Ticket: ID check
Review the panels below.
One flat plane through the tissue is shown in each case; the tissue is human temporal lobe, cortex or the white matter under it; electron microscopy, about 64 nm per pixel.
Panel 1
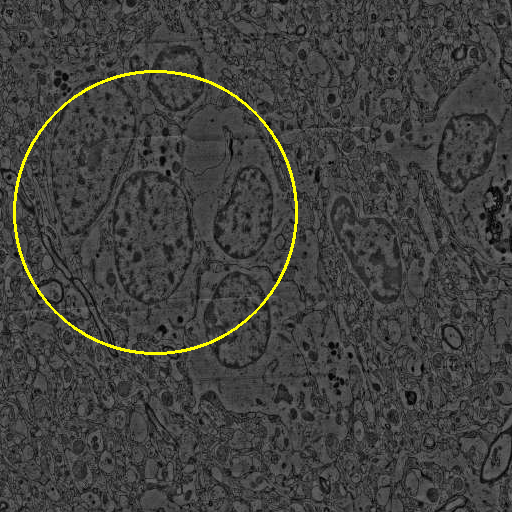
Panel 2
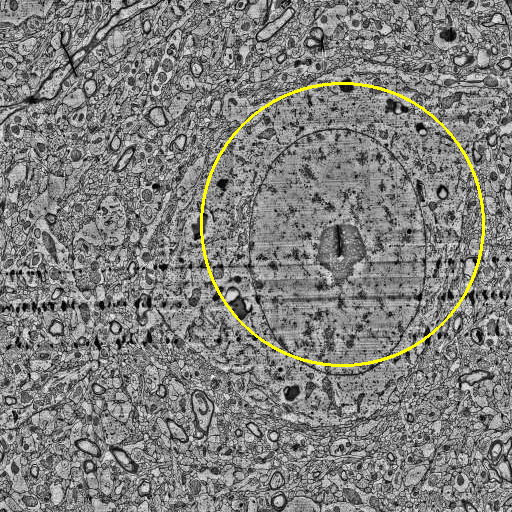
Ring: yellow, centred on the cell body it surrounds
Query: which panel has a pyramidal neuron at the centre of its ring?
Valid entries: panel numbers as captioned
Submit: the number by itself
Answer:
2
